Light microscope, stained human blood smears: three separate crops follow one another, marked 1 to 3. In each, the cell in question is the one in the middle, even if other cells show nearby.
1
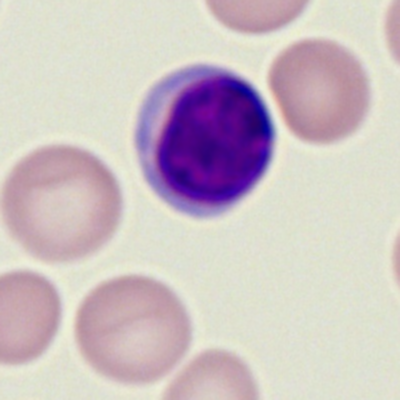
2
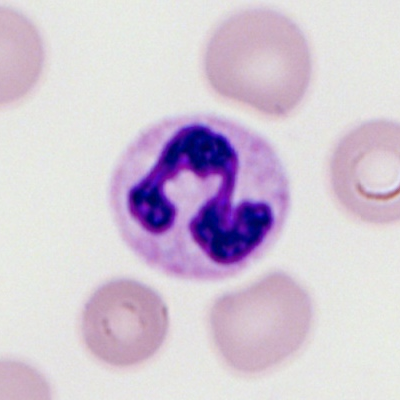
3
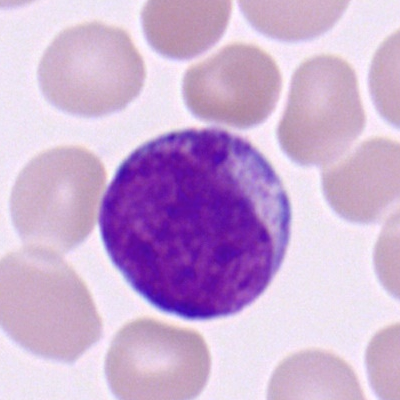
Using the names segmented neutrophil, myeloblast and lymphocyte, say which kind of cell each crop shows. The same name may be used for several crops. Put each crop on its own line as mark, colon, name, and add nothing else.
1: lymphocyte
2: segmented neutrophil
3: myeloblast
